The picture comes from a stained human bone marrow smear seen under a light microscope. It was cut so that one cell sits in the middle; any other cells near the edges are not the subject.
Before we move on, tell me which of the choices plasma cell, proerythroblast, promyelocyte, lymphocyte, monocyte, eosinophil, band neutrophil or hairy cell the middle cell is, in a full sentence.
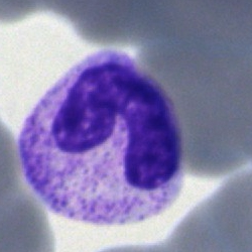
Centrally within this crop lies a band neutrophil.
